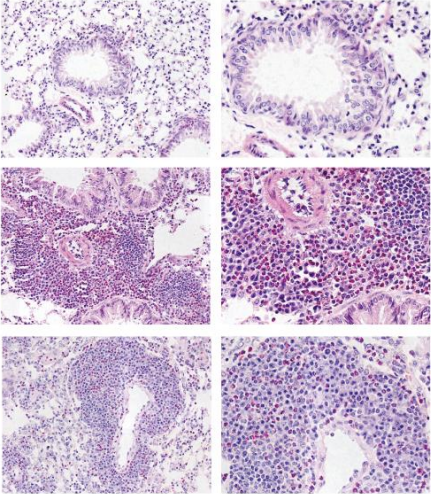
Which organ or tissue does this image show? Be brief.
lung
